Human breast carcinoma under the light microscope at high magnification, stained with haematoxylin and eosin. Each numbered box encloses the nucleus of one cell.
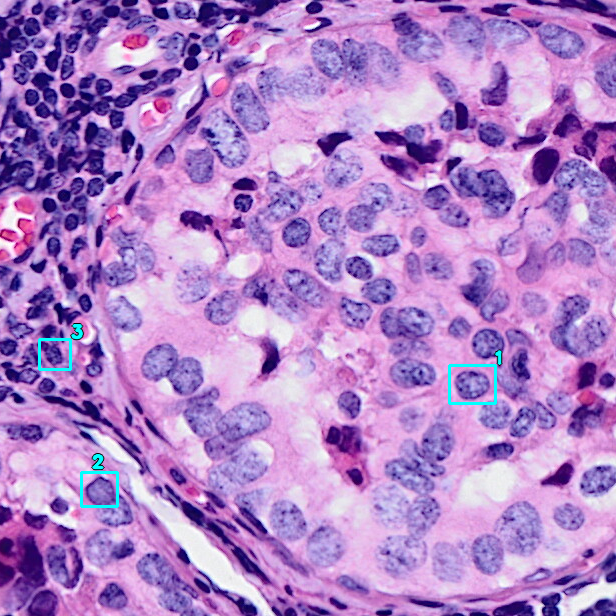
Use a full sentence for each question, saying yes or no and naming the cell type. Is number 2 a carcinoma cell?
Yes, the cell indicated by number 2 is a carcinoma cell.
